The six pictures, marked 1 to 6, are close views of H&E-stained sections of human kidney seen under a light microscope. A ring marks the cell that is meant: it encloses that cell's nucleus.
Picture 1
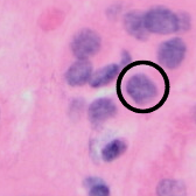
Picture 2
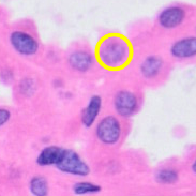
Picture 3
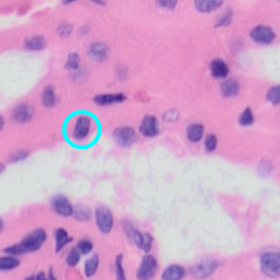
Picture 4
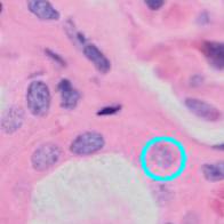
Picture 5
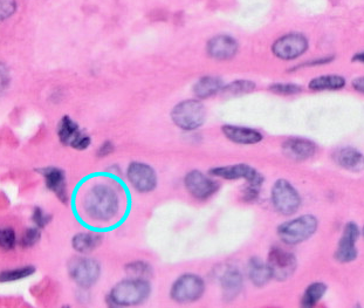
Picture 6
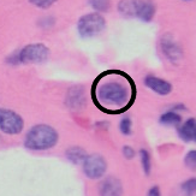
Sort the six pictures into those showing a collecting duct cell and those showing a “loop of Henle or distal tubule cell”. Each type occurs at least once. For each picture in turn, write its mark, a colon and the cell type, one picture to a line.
1: collecting duct cell
2: loop of Henle or distal tubule cell
3: loop of Henle or distal tubule cell
4: loop of Henle or distal tubule cell
5: collecting duct cell
6: loop of Henle or distal tubule cell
